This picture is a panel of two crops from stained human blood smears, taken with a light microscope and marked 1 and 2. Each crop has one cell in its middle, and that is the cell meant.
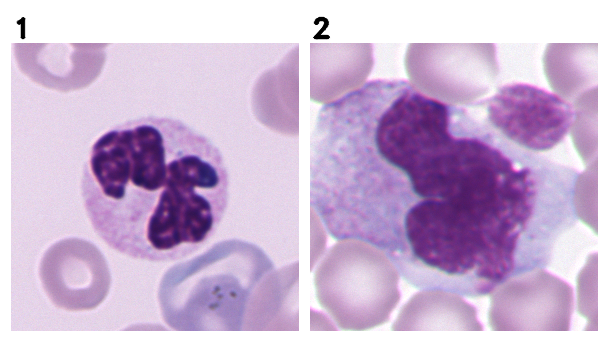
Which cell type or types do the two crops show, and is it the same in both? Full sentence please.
No, in this case crop 1 shows a neutrophil, and crop 2 shows a monocyte.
